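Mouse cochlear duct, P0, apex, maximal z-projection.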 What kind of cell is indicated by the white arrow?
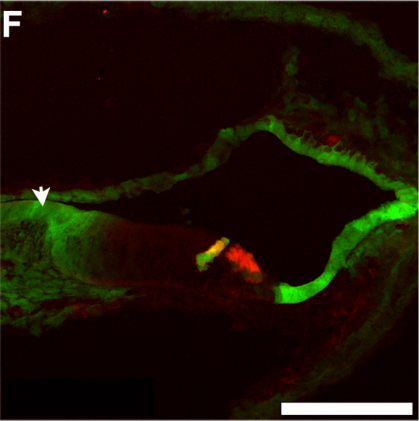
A: Developing interdental cells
